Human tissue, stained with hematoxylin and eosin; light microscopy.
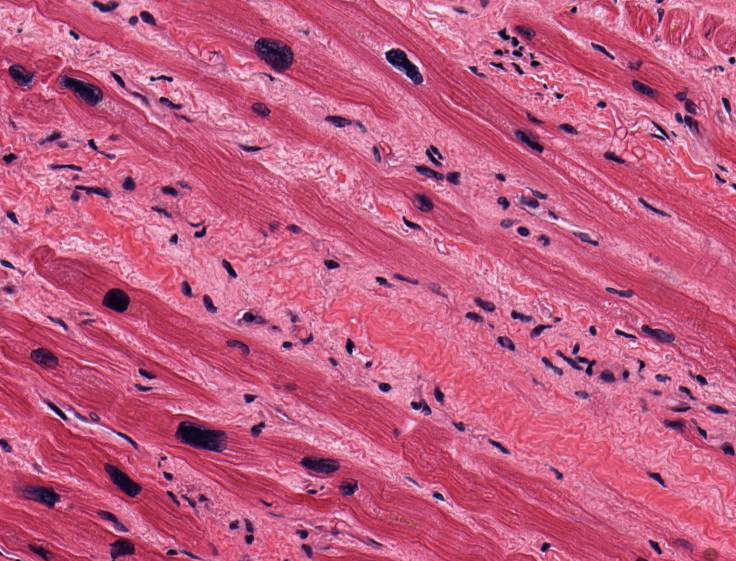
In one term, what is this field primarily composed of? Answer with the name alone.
myocardium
